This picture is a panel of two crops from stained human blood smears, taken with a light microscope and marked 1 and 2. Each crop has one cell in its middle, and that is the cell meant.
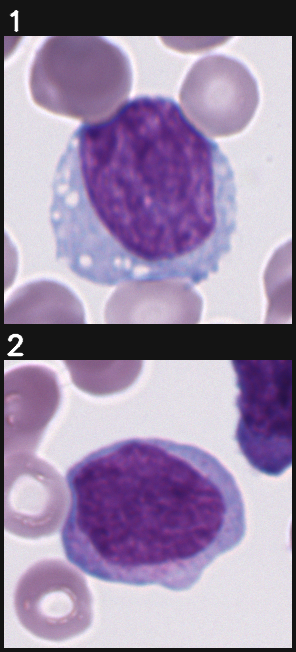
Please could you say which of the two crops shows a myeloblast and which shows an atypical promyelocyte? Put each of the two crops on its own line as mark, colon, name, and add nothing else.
1: myeloblast
2: atypical promyelocyte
